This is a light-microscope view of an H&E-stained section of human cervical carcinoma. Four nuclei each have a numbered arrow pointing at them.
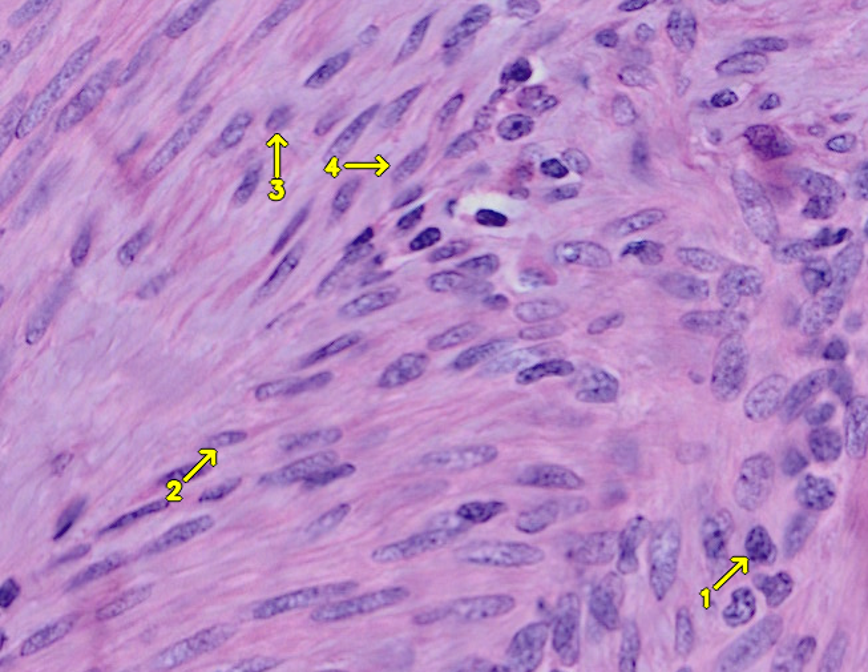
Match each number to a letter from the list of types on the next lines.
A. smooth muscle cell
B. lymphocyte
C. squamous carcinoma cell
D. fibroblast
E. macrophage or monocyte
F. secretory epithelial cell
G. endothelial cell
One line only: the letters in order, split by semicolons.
B; A; A; A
